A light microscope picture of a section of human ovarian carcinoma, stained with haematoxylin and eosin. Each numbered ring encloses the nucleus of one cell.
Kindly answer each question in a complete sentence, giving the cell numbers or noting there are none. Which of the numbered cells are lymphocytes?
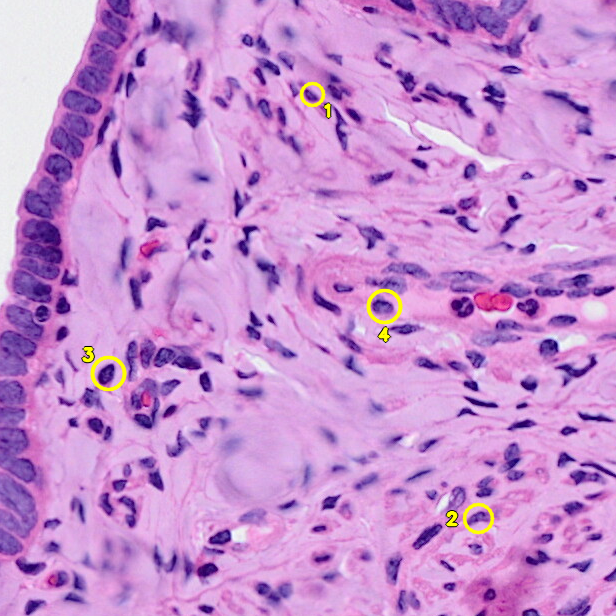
The numbered cells include exactly one that is a lymphocyte, which is cell 3.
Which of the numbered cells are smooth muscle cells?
Each of the cells numbered 1 and 2 is among the smooth muscle cells.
